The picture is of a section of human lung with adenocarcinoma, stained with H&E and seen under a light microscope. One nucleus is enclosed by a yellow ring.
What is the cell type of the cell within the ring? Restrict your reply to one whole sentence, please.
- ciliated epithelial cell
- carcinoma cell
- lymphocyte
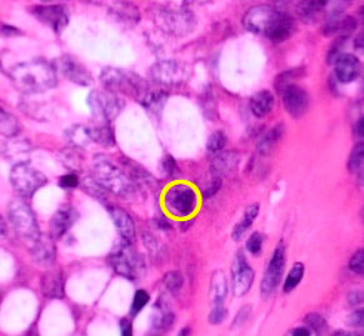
In the context of this tissue, the cell within the ring is a ciliated epithelial cell.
